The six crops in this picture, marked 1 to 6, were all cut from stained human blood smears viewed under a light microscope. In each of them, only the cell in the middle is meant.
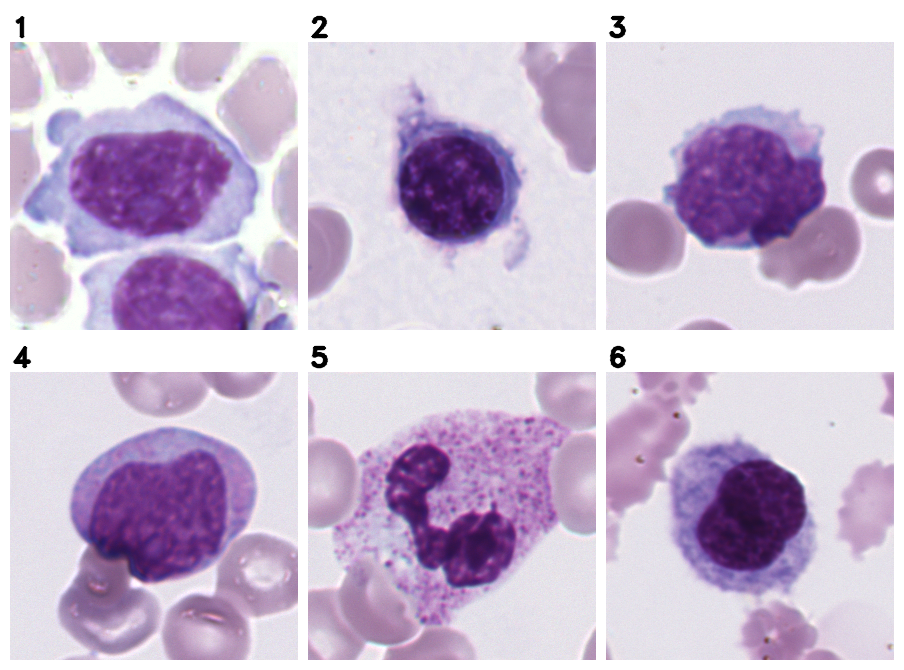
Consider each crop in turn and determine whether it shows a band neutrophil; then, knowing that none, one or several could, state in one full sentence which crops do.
Not even one of these crops contains a band neutrophil.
